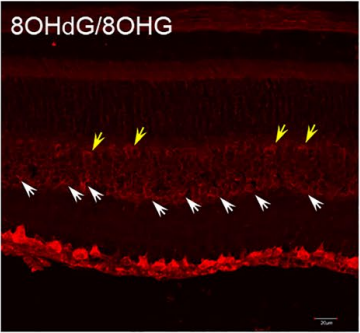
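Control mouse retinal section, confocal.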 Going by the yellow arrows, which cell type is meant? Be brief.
Horizontal cells.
